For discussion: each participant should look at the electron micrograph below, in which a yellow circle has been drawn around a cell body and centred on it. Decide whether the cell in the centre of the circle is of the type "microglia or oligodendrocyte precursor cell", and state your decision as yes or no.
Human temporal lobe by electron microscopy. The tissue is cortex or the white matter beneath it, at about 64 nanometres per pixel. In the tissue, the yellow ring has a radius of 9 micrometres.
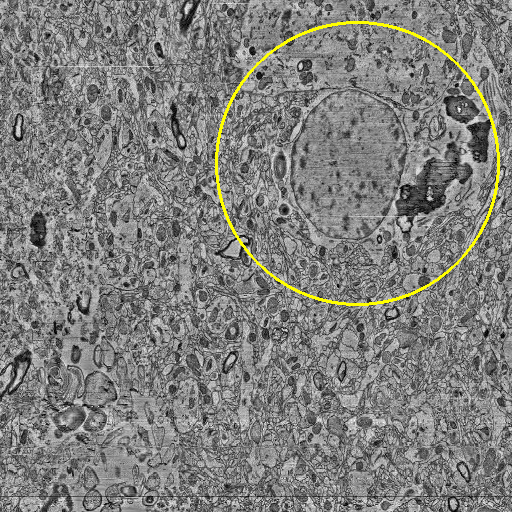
no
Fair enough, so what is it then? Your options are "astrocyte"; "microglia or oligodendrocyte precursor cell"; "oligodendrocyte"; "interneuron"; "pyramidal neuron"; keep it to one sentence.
The cell shown in the ring is an astrocyte.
